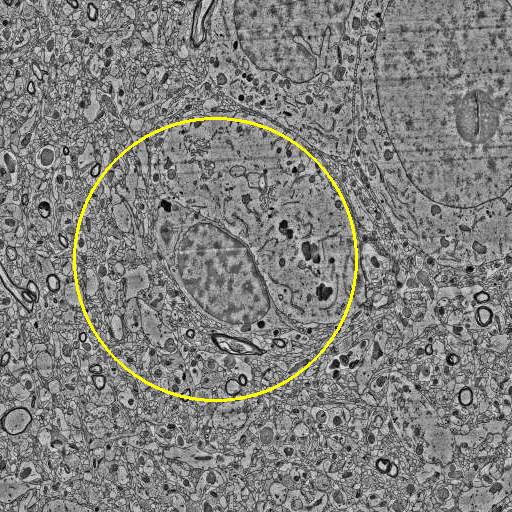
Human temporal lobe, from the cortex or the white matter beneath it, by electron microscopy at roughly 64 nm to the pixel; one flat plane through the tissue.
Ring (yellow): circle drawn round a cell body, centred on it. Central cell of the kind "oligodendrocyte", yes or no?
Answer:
yes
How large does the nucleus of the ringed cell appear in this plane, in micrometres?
About 7 by 5 micrometres; in this plane the nucleus is clearly longer than it is wide.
